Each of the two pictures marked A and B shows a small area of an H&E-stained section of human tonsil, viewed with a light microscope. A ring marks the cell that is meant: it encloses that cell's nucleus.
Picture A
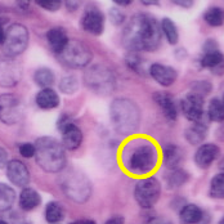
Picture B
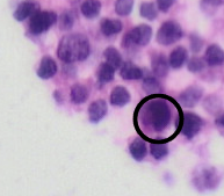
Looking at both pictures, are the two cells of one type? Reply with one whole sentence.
No, the types are not the same, since picture A shows an endothelial cell and picture B a proliferating B cell.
